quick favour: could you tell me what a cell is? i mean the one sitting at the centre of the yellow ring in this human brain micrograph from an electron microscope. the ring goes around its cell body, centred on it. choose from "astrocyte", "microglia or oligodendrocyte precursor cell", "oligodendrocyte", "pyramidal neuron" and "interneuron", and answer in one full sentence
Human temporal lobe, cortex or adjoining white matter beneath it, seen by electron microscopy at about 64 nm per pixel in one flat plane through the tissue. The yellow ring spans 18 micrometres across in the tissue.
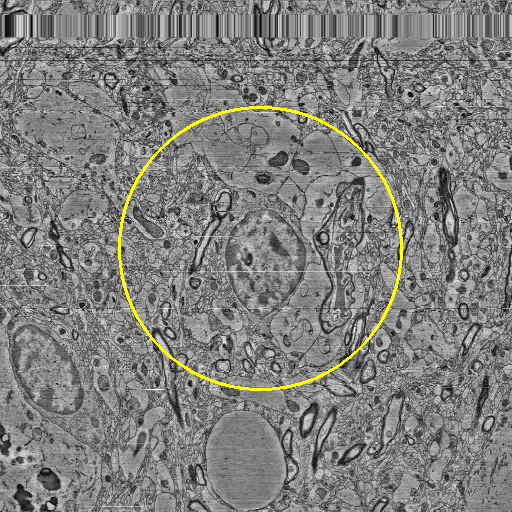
That's an oligodendrocyte, the cell sitting at the centre of the yellow ring.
